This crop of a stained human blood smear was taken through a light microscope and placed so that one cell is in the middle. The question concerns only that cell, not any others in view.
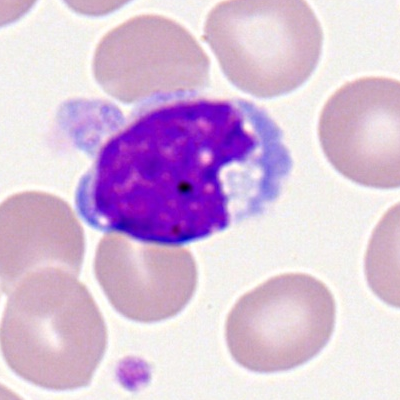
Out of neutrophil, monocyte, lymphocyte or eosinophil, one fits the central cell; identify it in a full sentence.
Located at the centre of the crop is a monocyte.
